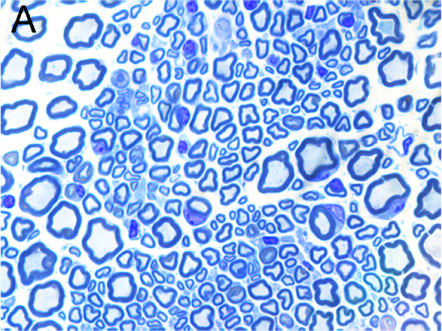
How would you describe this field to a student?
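A cross-section of a normal nerve in which many myelinated axons are cut transversely and packed closely together. Each axon appears as a pale, light blue centre surrounded by a dark blue ring of myelin. The profiles range widely in size, with large axons bearing thick sheaths scattered among many smaller ones with thinner sheaths. Many large profiles are rounded but somewhat irregular or angular in outline. A few small, paler purple cell profiles sit in the spaces between the fibres, and thin pale connective tissue separates the fibres.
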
